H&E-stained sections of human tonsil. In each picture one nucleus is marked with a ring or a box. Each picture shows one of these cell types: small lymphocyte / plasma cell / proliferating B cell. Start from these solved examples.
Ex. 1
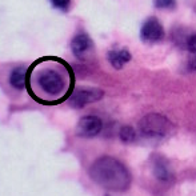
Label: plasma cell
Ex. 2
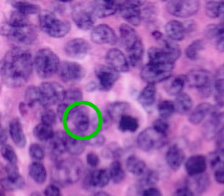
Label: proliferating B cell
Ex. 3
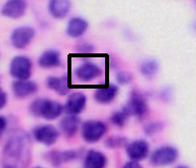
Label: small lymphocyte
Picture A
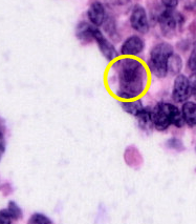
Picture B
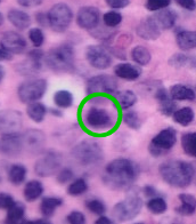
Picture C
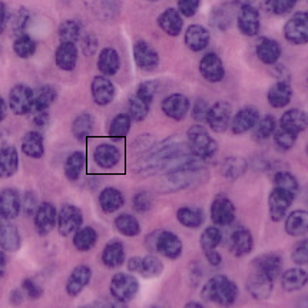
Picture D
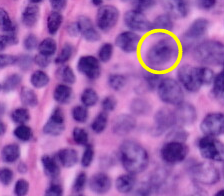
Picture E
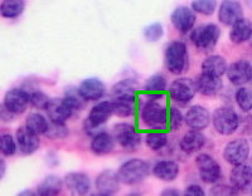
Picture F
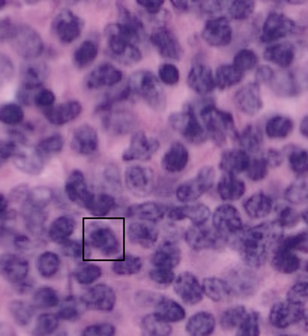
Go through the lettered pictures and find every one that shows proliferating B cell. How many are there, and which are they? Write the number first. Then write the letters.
3: A, B, D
